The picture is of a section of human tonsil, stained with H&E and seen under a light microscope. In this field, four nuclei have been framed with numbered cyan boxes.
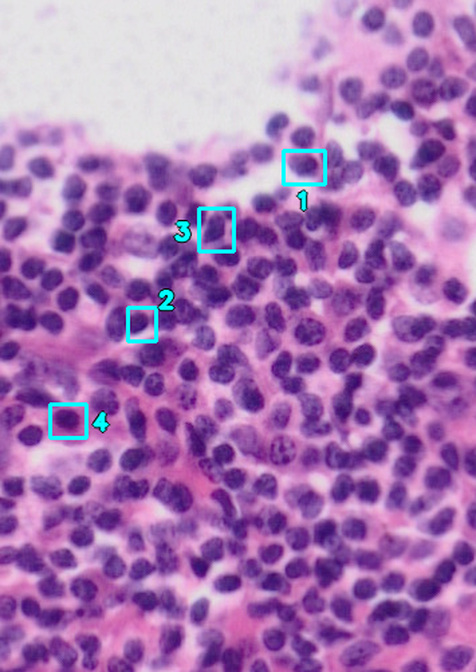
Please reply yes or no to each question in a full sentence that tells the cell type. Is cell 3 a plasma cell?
No, cell 3 is not a plasma cell; a small lymphocyte is correct.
